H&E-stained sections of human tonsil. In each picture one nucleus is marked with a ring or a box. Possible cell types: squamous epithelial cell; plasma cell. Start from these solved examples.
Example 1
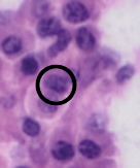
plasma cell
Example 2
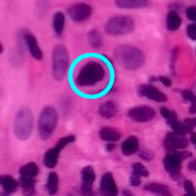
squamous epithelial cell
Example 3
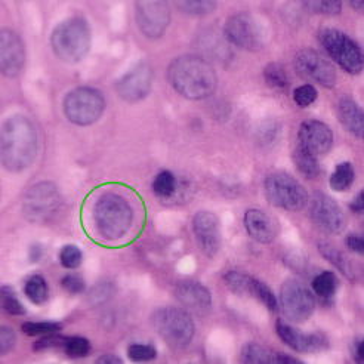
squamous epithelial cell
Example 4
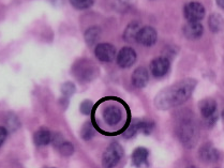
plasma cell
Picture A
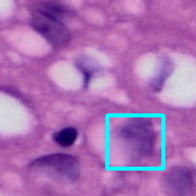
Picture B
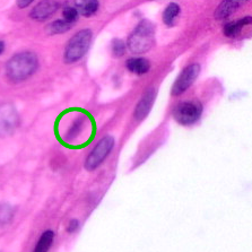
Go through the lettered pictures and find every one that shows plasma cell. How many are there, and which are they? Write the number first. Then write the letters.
0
